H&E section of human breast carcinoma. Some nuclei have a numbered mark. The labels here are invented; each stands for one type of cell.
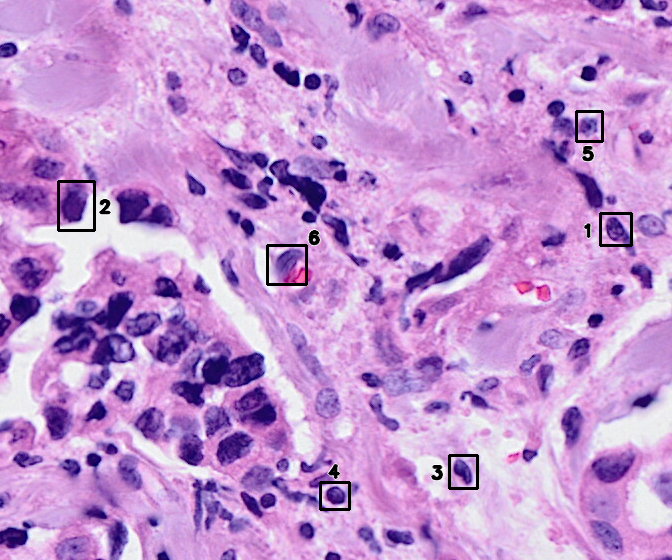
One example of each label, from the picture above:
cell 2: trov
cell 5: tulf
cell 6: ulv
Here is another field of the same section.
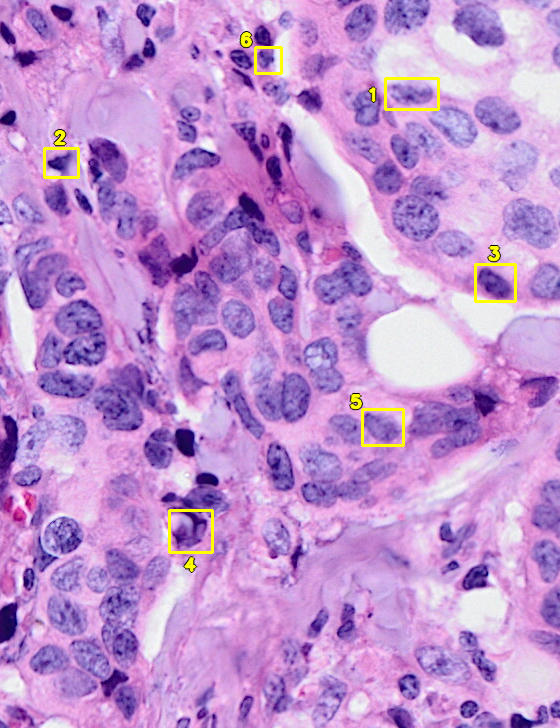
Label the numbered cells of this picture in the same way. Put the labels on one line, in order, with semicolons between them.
trov; tulf; trov; trov; trov; tulf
